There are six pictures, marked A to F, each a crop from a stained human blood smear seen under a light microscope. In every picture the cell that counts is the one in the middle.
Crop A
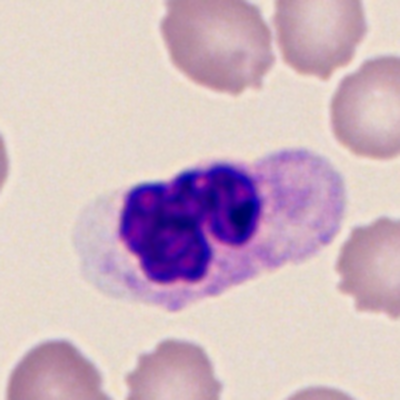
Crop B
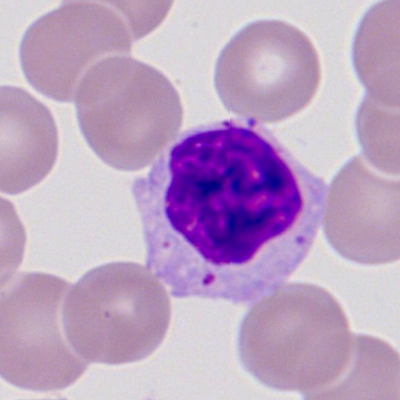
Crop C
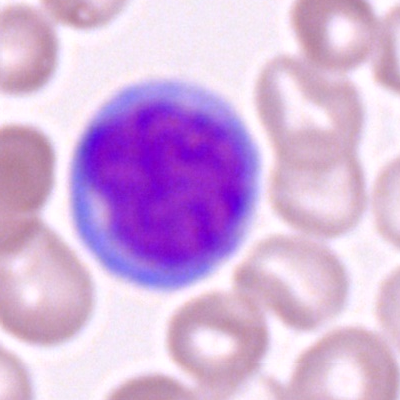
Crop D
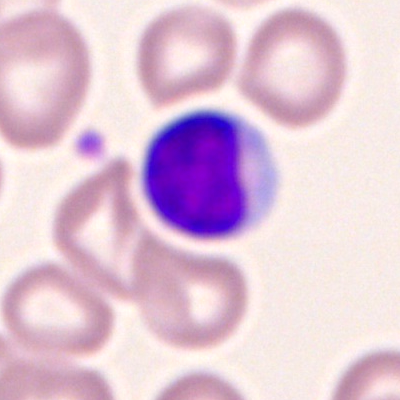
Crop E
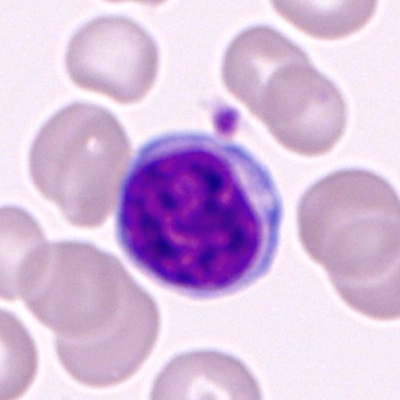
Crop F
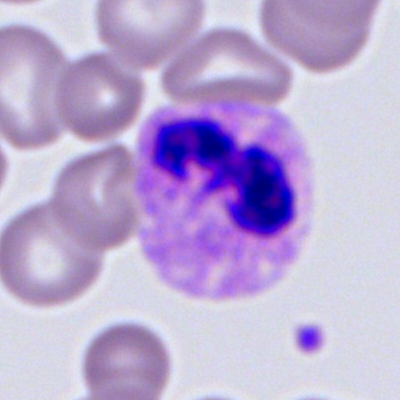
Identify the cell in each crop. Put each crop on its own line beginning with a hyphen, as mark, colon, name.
- A: segmented neutrophil
- B: lymphocyte
- C: monocyte
- D: lymphocyte
- E: lymphocyte
- F: segmented neutrophil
